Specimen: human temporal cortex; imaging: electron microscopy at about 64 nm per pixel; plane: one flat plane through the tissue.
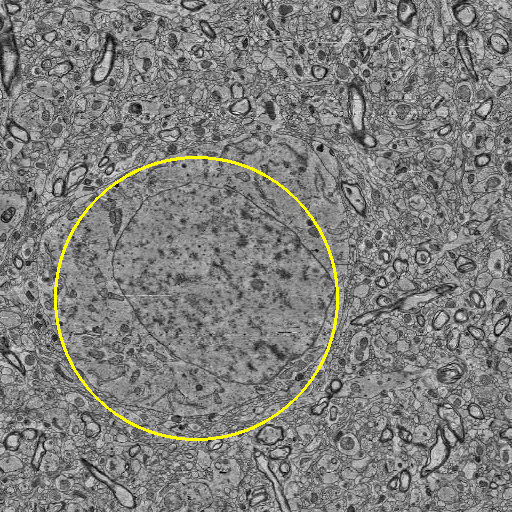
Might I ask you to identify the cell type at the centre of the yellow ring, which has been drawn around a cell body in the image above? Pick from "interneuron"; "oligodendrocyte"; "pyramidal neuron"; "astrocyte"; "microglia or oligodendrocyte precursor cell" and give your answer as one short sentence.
The centre of the ring falls on a pyramidal neuron.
